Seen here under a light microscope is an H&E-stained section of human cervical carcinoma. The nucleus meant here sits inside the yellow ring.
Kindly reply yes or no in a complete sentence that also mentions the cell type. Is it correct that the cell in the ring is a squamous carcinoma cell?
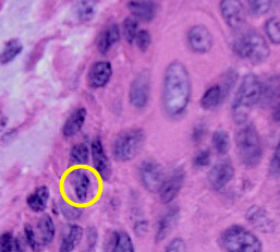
Yes, in this section the cell in the ring is a squamous carcinoma cell.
